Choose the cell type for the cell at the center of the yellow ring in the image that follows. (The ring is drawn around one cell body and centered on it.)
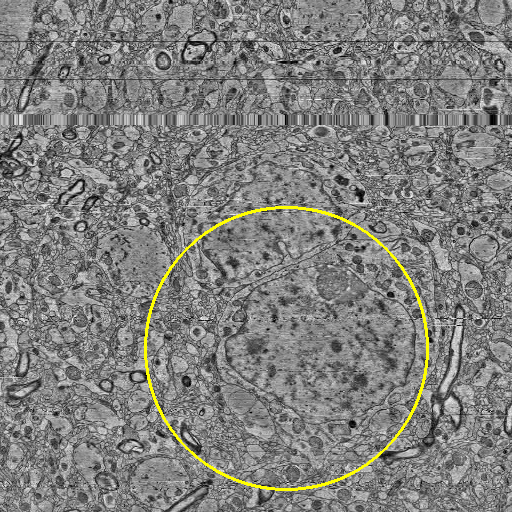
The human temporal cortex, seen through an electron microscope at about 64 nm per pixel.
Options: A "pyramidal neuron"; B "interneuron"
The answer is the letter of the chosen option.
B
